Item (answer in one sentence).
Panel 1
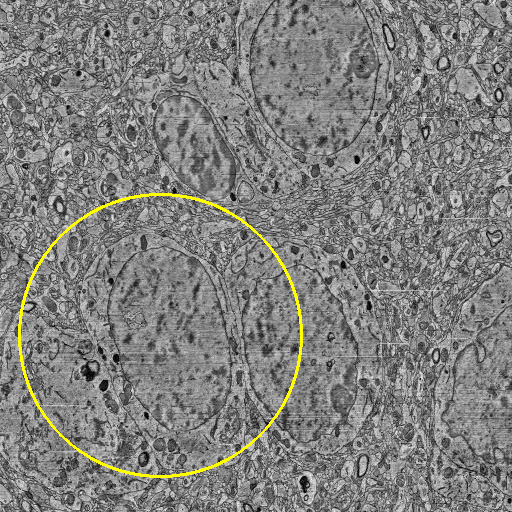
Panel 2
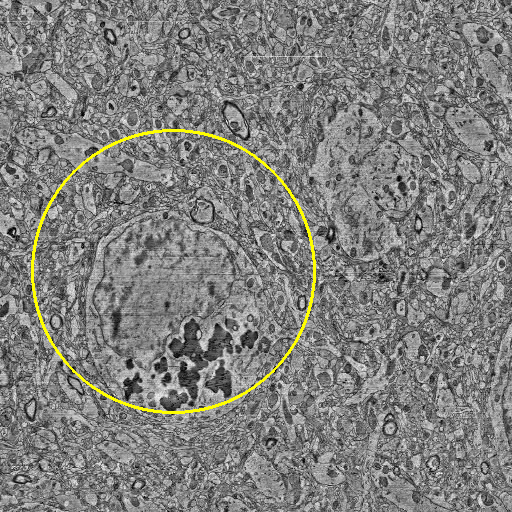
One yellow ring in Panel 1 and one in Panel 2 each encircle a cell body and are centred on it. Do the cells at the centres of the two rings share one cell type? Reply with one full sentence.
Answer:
No, Panel 1 and Panel 2 show cells of two types at the centres of their rings.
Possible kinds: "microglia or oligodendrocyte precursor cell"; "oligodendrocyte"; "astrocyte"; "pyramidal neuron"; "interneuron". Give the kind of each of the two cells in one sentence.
The cell in the second picture is an interneuron, and that in the first is a pyramidal neuron.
